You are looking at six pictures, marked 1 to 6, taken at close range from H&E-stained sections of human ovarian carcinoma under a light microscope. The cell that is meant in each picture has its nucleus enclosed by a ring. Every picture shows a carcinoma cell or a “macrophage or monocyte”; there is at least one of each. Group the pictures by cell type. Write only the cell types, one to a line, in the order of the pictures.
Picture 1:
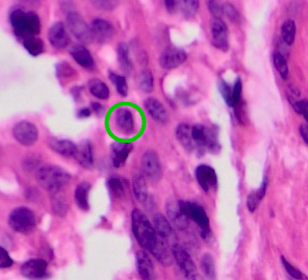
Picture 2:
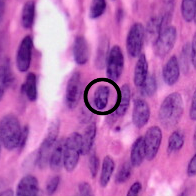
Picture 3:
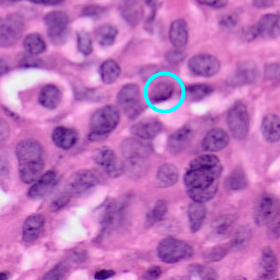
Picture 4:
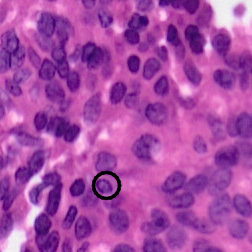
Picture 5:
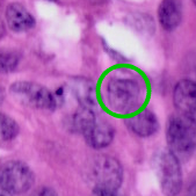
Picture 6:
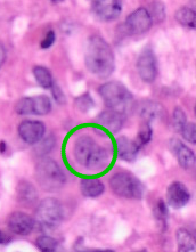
macrophage or monocyte
macrophage or monocyte
carcinoma cell
macrophage or monocyte
carcinoma cell
carcinoma cell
